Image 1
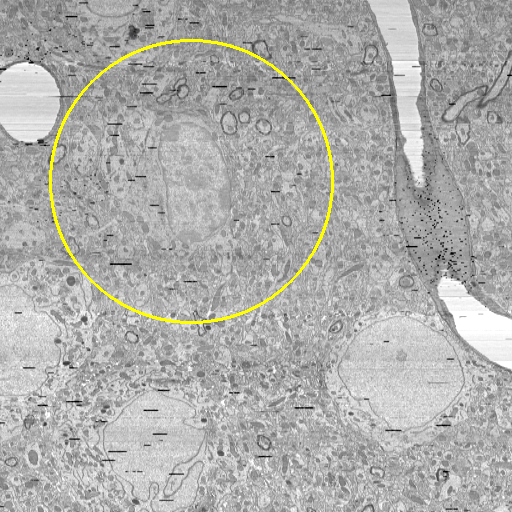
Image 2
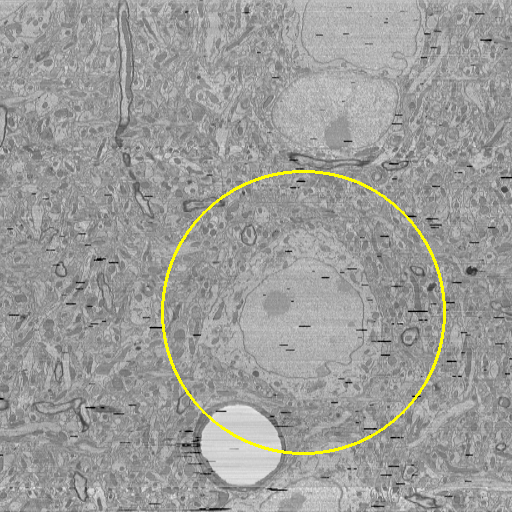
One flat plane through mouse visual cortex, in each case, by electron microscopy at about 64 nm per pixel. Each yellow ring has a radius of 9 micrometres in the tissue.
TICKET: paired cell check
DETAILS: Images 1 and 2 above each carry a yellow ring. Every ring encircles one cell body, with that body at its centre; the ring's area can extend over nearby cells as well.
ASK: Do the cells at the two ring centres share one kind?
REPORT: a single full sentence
No, the ring-centre cells of Images 1 and 2 belong to two kinds.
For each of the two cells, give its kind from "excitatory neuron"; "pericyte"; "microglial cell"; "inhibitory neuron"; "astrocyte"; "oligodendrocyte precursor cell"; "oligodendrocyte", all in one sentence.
The first picture has an oligodendrocyte in its ring, the second has an excitatory neuron.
